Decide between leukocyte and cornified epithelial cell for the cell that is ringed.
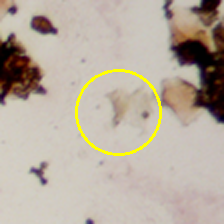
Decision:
I take the ringed cell for a cornified epithelial cell.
